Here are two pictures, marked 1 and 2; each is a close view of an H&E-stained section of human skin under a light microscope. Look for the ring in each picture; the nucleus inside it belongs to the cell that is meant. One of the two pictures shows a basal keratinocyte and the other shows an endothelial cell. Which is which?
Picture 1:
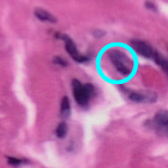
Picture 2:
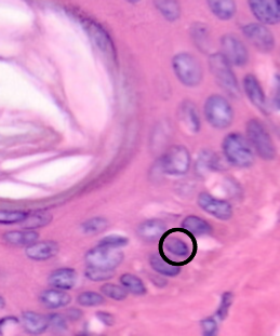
1: endothelial cell
2: basal keratinocyte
